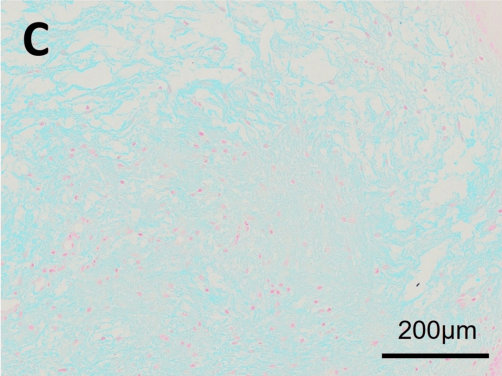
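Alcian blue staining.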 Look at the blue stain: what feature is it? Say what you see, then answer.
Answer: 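A loose, wispy extracellular background stains pale blue throughout. Scattered small nuclei are pink-red within the blue background.
Mucus matrix.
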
